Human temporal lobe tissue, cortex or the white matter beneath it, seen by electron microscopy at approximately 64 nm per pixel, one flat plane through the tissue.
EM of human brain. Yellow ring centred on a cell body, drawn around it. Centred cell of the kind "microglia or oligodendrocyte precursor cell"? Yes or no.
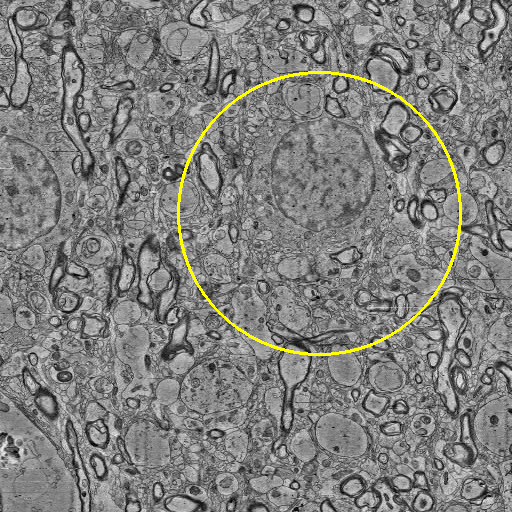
no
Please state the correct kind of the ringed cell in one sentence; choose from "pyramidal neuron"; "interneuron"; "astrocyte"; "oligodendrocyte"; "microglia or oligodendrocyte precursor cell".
The ring's central cell is an oligodendrocyte instead.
